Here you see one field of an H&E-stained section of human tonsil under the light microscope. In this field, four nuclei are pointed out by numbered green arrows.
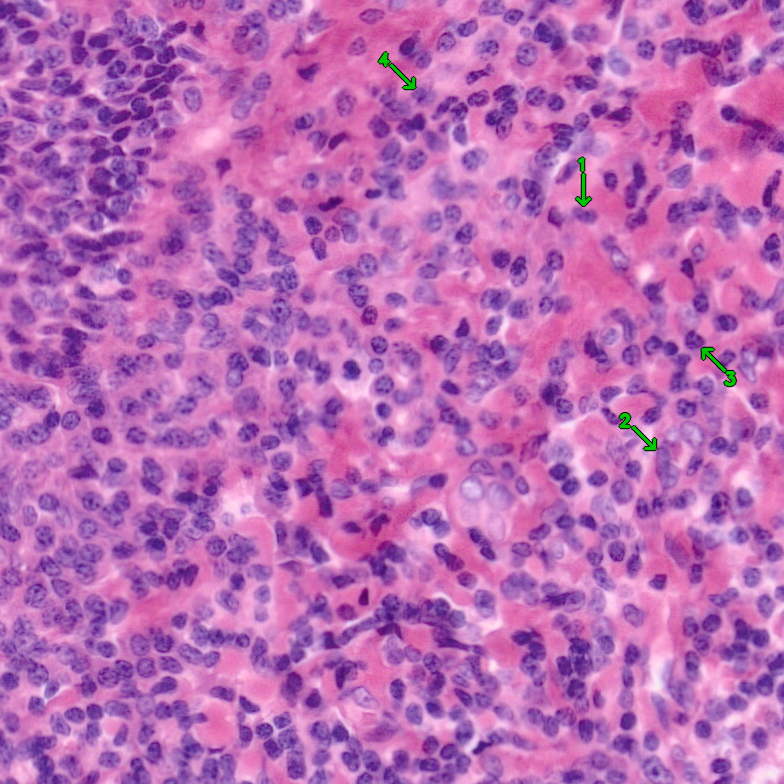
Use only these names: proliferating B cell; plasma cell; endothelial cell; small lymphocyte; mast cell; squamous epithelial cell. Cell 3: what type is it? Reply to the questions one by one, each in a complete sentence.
The cell with the number 3 is a plasma cell.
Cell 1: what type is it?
The numbered cell 1 in this field is a mast cell.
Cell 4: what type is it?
The nucleus labeled 4 belongs to an endothelial cell.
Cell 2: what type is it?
At number 2, the marked cell is an endothelial cell.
